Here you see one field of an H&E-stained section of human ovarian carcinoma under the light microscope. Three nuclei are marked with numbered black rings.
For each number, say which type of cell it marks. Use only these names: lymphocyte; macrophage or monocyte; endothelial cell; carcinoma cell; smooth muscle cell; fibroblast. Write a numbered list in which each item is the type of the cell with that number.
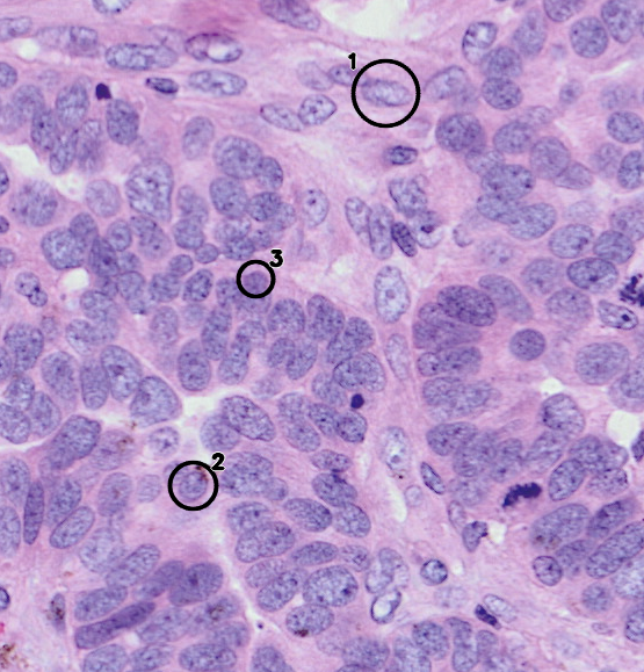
1. fibroblast
2. carcinoma cell
3. carcinoma cell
